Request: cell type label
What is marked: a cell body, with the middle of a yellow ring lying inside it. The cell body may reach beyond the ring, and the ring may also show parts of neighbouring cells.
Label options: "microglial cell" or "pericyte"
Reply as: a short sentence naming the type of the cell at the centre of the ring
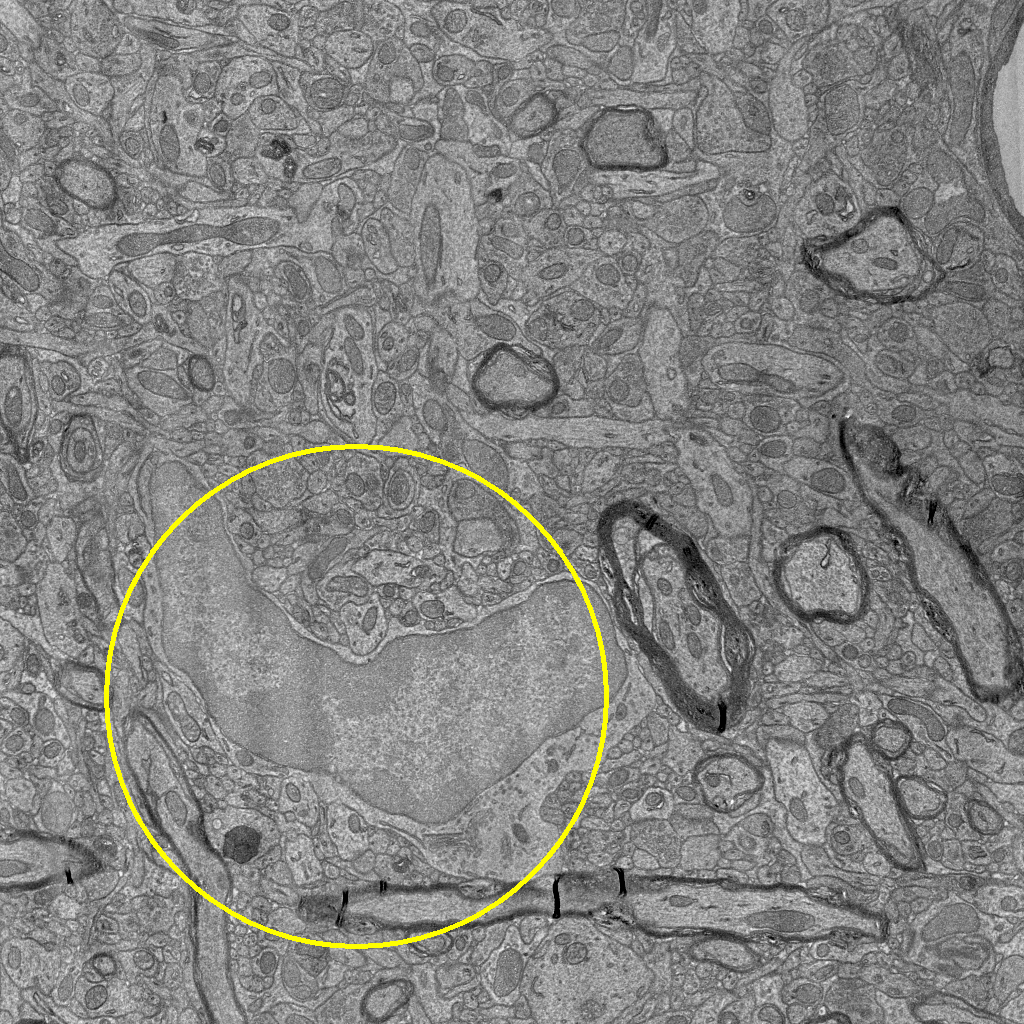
The marked cell body is that of a microglial cell.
